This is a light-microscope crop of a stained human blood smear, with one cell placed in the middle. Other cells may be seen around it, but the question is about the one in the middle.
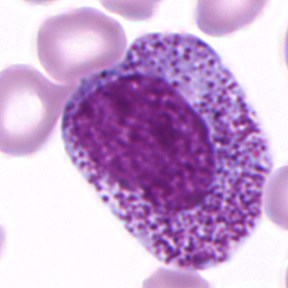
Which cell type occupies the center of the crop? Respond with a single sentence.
In this smear crop, the middle cell is a promyelocyte.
